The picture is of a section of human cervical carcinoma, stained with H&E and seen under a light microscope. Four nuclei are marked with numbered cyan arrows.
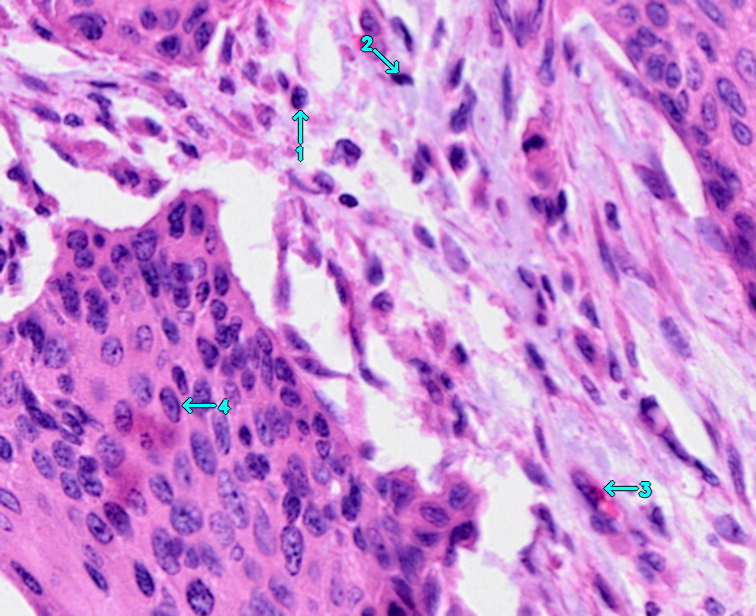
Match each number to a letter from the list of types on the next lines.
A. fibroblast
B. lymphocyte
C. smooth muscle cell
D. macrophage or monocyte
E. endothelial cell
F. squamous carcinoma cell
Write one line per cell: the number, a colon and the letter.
1: B
2: B
3: E
4: F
